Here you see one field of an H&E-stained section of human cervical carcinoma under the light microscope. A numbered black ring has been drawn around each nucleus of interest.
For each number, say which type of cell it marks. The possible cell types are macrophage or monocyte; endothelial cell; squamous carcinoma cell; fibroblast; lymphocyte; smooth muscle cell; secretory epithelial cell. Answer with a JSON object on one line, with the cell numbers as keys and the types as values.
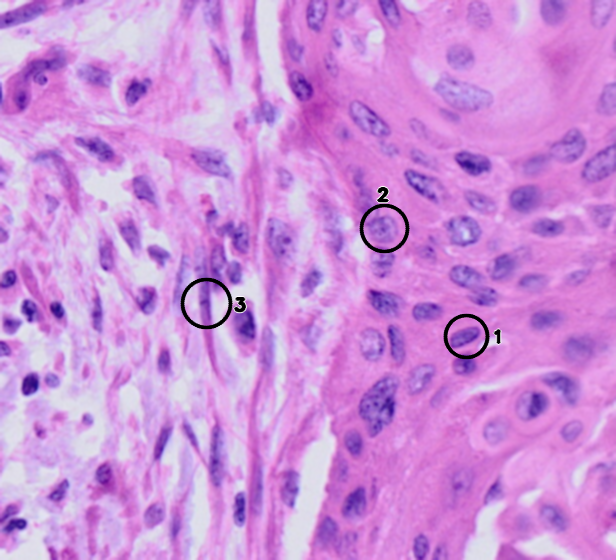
{"1": "squamous carcinoma cell", "2": "squamous carcinoma cell", "3": "fibroblast"}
